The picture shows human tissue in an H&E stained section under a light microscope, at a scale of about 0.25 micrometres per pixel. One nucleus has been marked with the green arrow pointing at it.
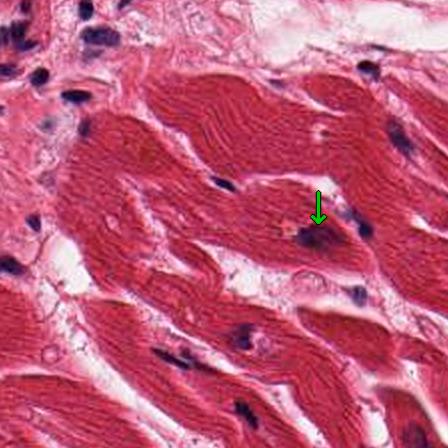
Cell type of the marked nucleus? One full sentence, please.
The nucleus marked in this picture belongs to a cardiomyocyte.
